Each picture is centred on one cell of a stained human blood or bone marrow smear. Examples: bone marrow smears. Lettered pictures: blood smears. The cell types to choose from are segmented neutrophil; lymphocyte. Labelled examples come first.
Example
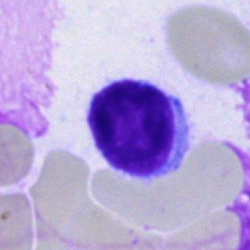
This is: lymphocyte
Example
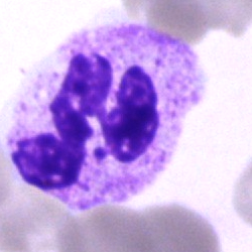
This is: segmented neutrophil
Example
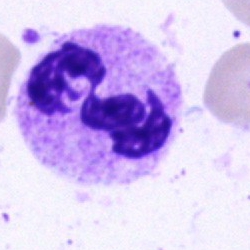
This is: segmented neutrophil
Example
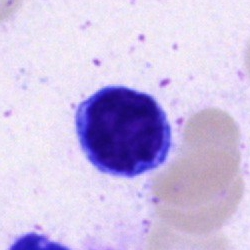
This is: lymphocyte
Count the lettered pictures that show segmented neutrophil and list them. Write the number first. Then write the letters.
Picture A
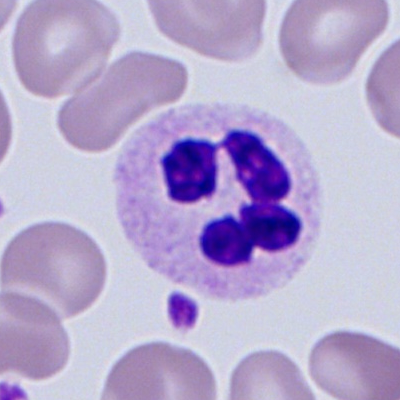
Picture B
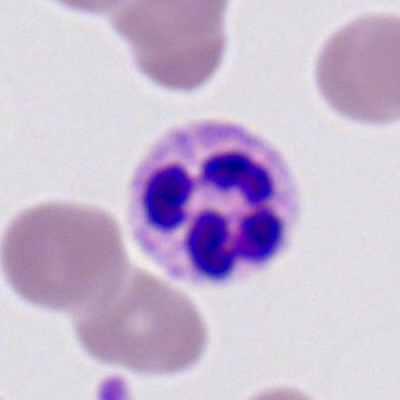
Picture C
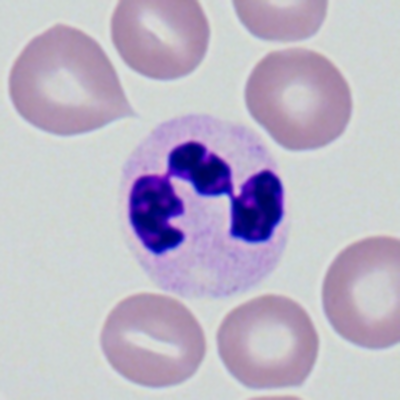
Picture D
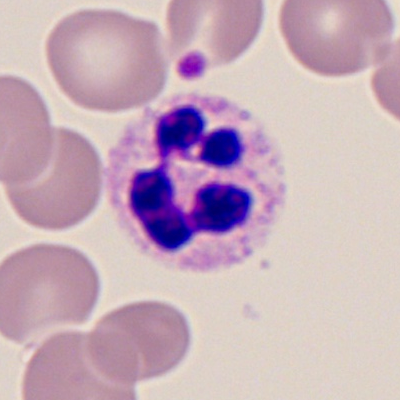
4: A, B, C, D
